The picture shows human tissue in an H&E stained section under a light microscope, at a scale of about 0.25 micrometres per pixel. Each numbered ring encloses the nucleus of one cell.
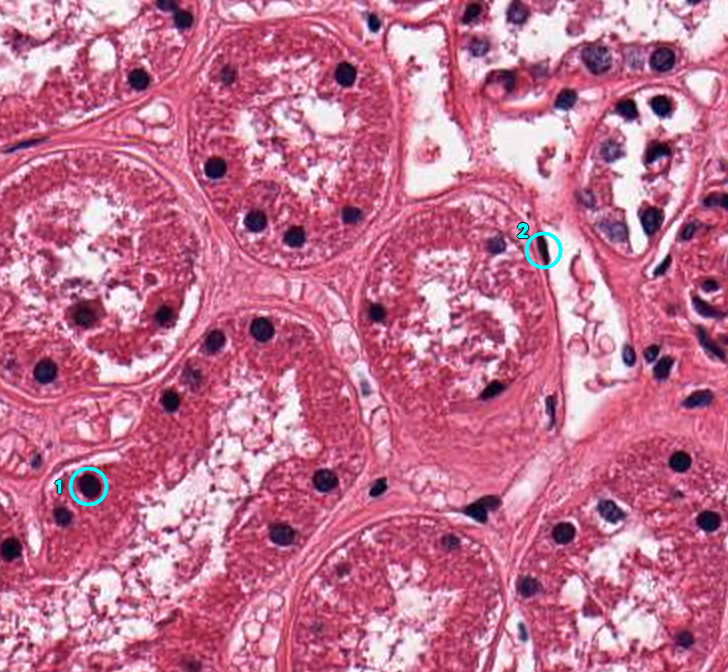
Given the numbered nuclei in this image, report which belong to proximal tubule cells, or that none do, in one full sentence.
It is nucleus 1, and none of the others, that belongs to a proximal tubule cell.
